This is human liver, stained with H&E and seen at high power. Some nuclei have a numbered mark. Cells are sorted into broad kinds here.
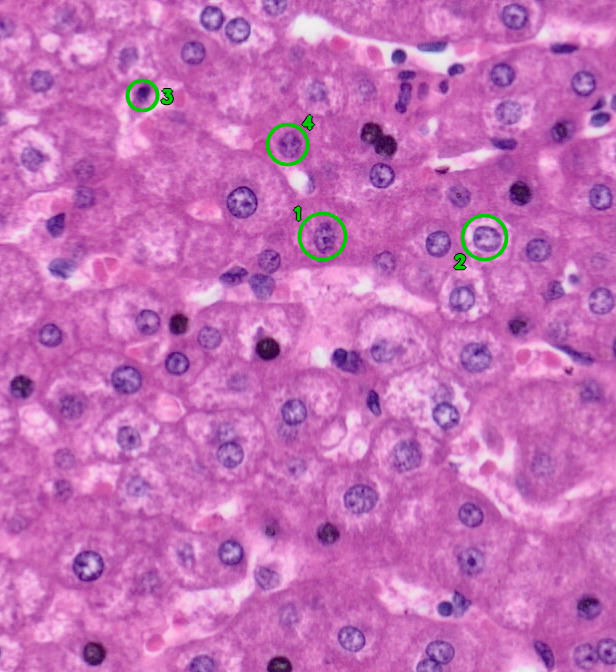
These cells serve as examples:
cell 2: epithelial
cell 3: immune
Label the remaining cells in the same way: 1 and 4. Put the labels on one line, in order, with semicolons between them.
epithelial; epithelial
